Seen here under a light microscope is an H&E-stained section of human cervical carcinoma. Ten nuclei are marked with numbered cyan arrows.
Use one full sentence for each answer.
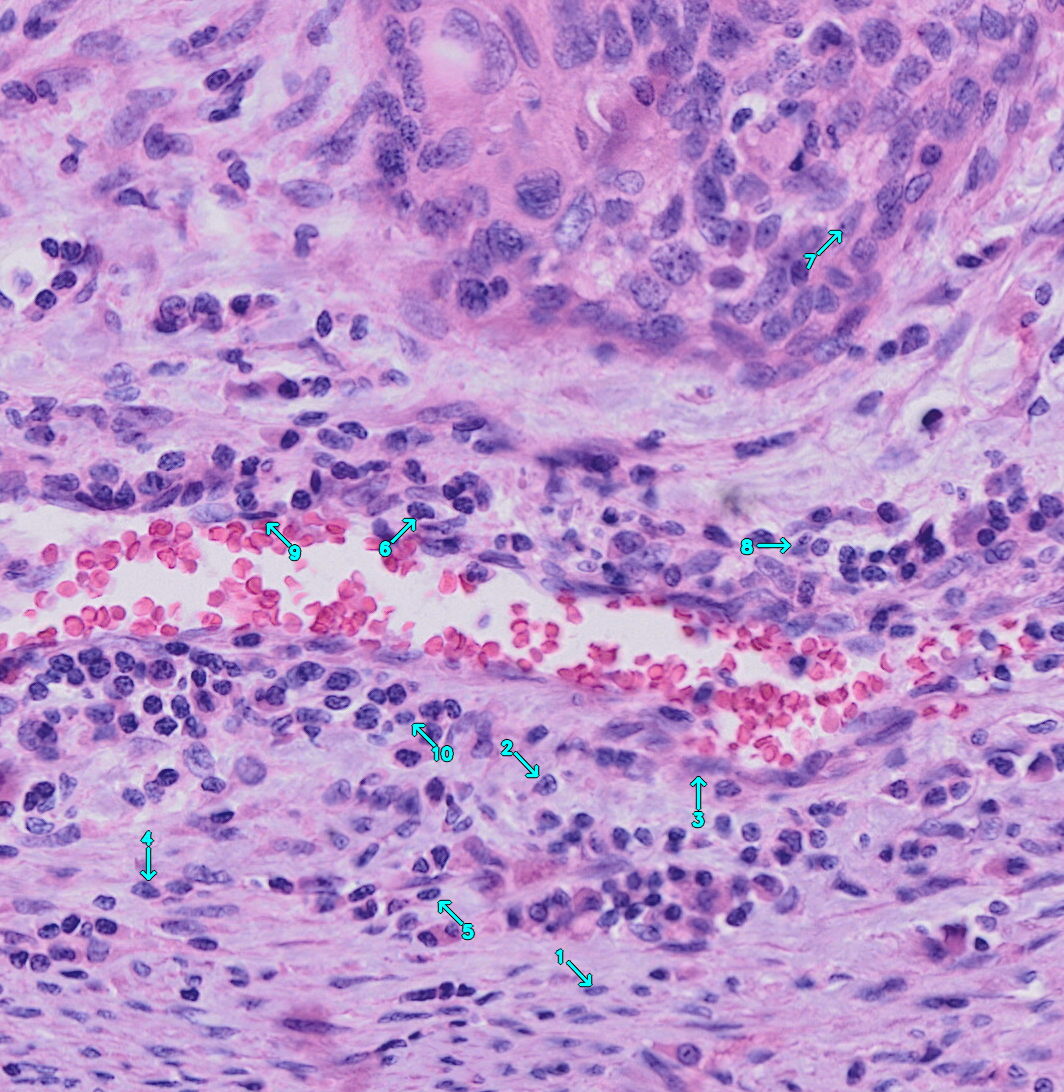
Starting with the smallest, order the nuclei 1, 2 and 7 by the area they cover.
Smallest first, the nuclei run 1, 2, 7.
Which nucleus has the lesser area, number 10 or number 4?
Nucleus 10 is the smaller one; nucleus 4 covers about 1.5 times its area.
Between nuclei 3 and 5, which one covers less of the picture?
Number 5 is smaller, since number 3 takes up about 1.5 times as much area.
